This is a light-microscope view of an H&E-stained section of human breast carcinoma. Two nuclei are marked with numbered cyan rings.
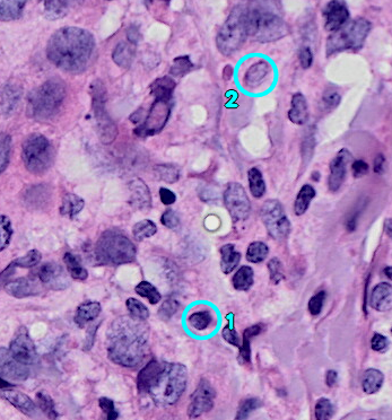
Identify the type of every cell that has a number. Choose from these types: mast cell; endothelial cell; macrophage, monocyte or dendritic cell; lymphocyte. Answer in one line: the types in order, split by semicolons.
lymphocyte; macrophage, monocyte or dendritic cell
